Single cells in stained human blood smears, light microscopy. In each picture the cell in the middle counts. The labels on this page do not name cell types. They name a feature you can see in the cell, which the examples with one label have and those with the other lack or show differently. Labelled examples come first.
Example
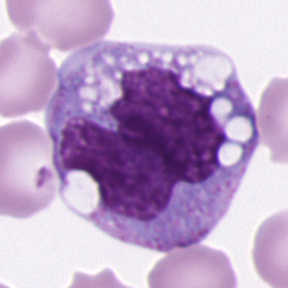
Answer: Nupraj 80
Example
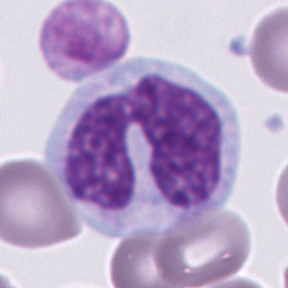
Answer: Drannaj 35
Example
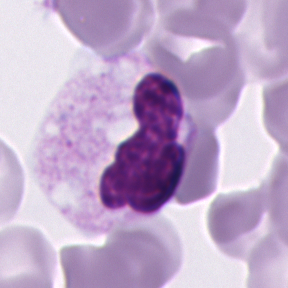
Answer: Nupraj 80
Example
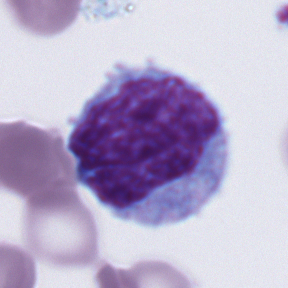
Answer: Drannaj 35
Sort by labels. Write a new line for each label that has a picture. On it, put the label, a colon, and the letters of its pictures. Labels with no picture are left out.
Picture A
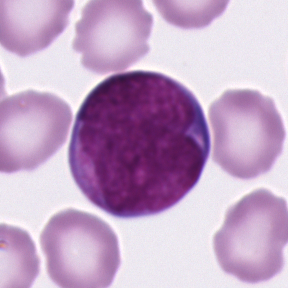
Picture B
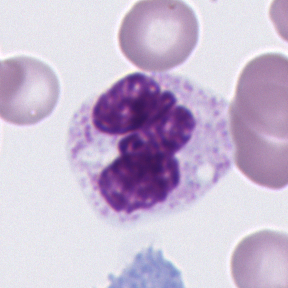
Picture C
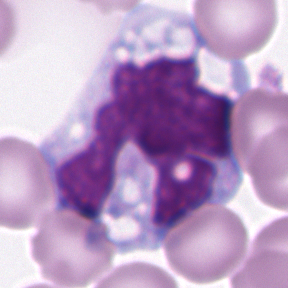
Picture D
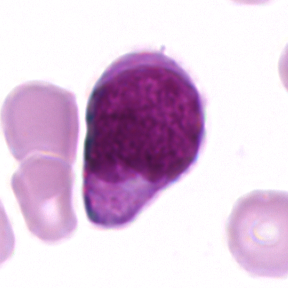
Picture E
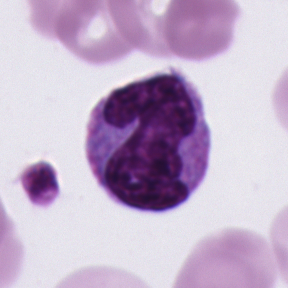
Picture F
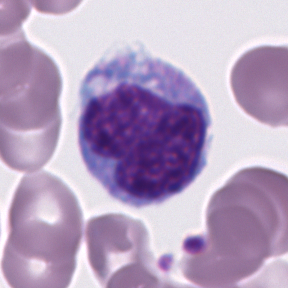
Nupraj 80: B, C, F
Drannaj 35: A, D, E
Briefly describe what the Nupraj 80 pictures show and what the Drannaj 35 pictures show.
In Nupraj 80: vacuoles present. In Drannaj 35: no vacuoles.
